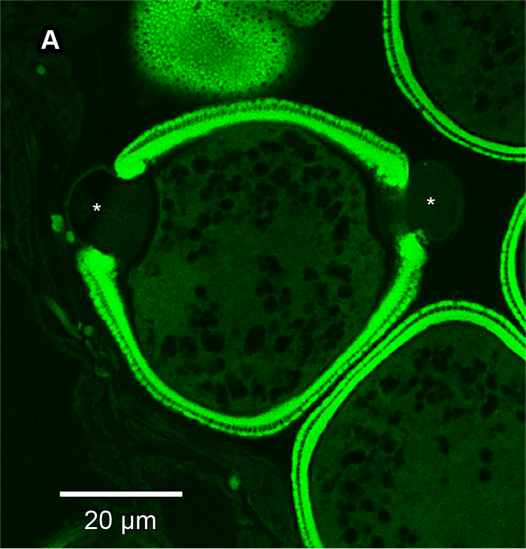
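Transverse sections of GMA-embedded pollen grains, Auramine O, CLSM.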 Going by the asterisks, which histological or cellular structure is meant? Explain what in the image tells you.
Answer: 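Dark rounded bulges sit at gaps in the bright grain wall. The bulges protrude beyond the outline of the grain. On this evidence: protruding onci.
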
